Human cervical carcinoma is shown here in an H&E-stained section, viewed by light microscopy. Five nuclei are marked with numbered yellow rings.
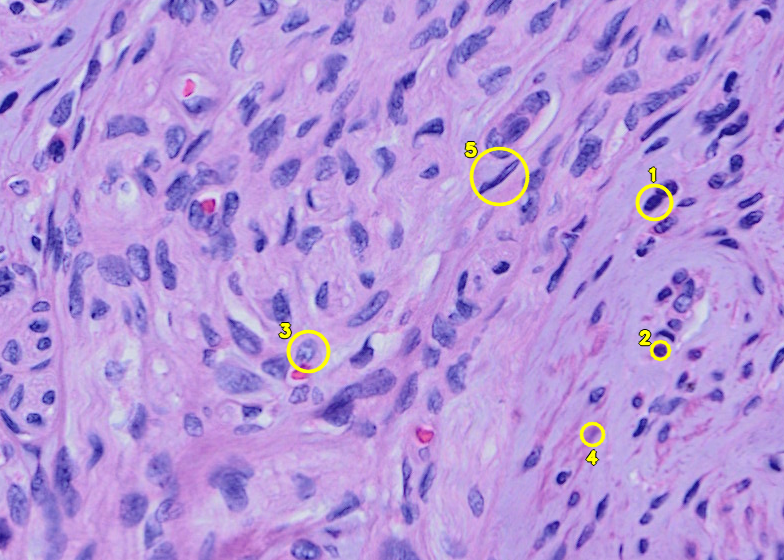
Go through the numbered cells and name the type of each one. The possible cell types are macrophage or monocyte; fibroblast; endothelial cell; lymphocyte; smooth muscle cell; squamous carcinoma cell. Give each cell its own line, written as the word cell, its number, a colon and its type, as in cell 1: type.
cell 1: lymphocyte
cell 2: smooth muscle cell
cell 3: endothelial cell
cell 4: smooth muscle cell
cell 5: fibroblast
